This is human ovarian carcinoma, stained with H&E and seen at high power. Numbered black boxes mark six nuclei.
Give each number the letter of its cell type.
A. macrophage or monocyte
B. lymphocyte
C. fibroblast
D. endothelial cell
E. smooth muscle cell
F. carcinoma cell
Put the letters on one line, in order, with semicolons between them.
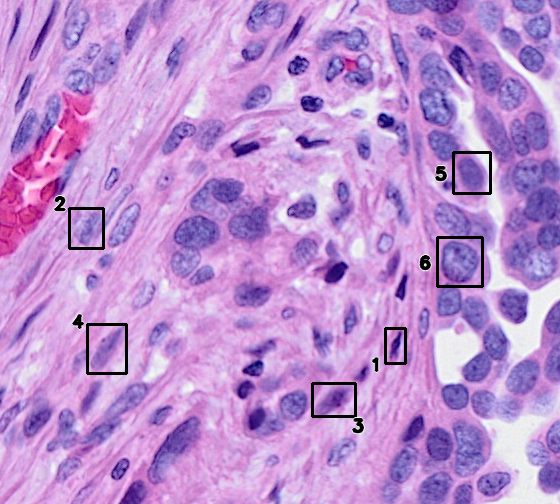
C; C; C; C; F; F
